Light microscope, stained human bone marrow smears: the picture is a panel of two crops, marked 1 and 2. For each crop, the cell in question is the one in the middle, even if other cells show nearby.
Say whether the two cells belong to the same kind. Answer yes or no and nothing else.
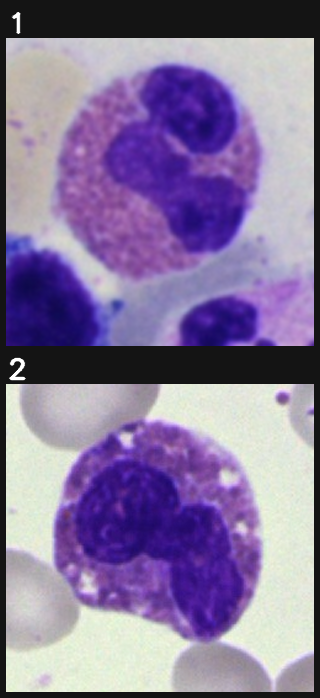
yes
